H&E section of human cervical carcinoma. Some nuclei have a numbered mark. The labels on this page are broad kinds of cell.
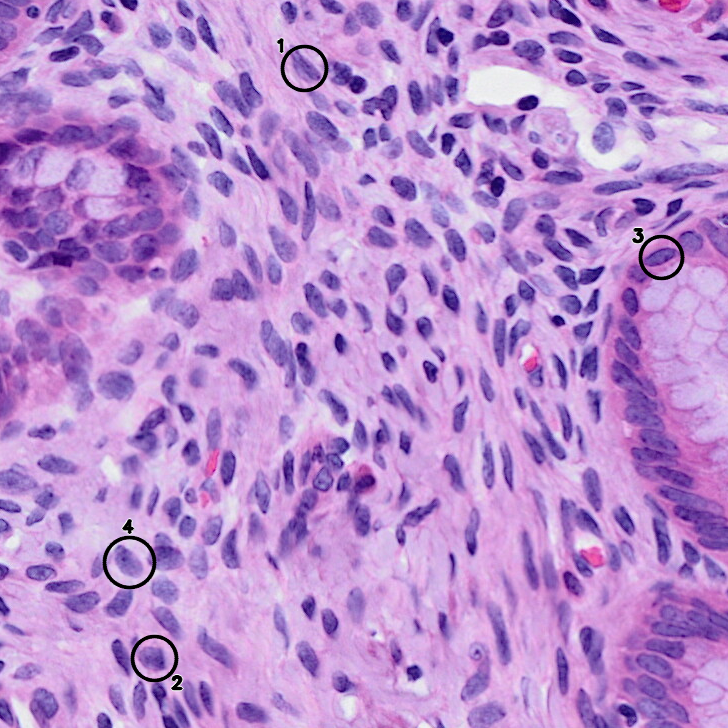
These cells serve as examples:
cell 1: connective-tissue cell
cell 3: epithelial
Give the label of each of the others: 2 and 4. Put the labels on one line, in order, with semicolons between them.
connective-tissue cell; connective-tissue cell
